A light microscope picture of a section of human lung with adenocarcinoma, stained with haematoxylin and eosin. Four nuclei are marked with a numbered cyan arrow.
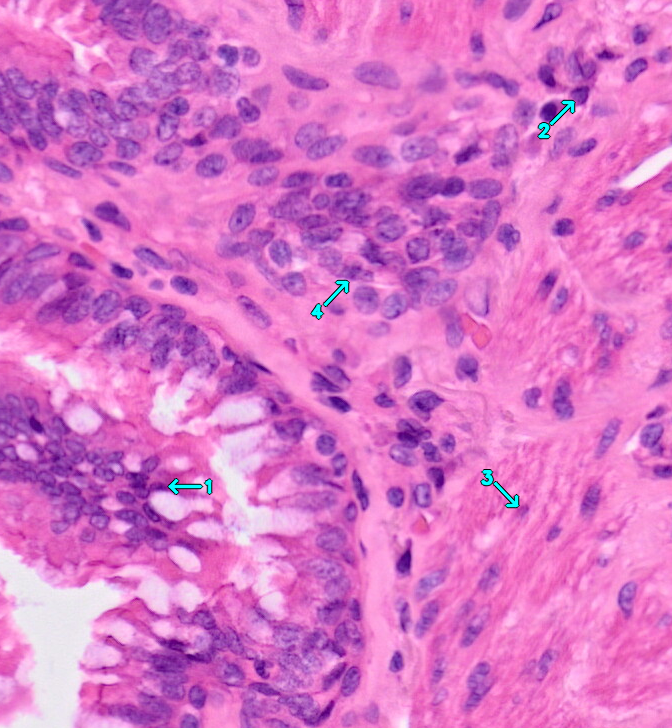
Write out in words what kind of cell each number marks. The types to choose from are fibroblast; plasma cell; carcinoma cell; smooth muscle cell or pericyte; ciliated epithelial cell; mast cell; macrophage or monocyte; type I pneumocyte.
Cells 1 and 4 are ciliated epithelial cells. Cell 2 is a plasma cell. Cell 3 is a smooth muscle cell or pericyte.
